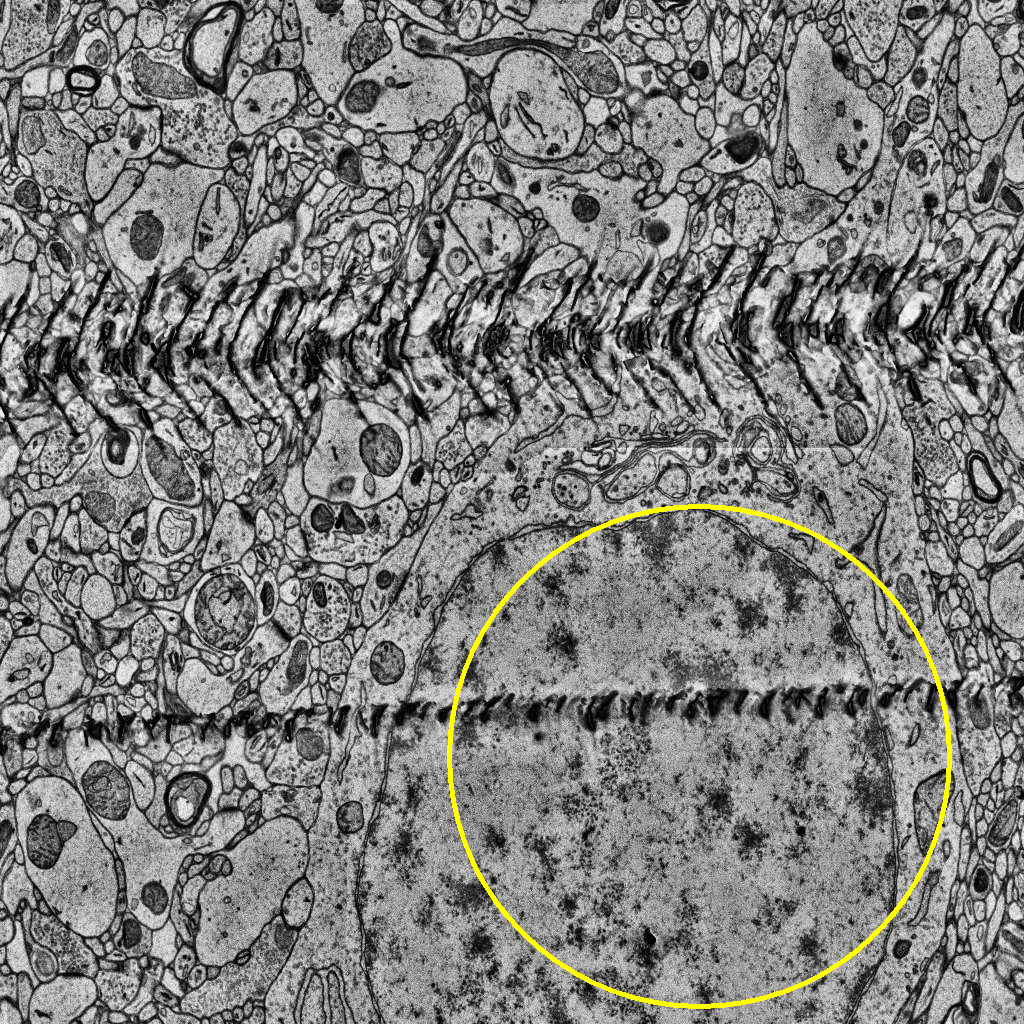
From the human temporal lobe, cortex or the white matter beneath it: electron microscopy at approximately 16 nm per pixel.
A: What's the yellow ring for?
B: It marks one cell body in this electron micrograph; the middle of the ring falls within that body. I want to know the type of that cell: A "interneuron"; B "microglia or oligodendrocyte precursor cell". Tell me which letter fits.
A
